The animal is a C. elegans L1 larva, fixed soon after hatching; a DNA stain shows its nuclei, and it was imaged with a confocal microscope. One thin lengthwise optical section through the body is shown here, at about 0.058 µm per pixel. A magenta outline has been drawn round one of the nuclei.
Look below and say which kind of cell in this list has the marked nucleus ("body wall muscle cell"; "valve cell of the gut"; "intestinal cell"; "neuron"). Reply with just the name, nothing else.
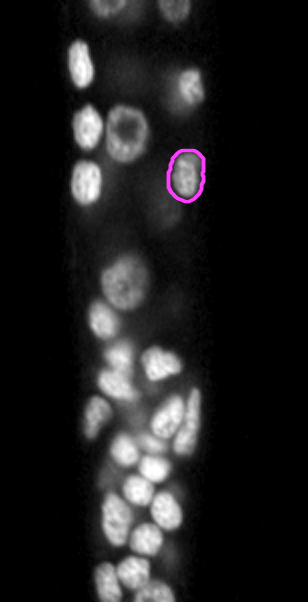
body wall muscle cell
